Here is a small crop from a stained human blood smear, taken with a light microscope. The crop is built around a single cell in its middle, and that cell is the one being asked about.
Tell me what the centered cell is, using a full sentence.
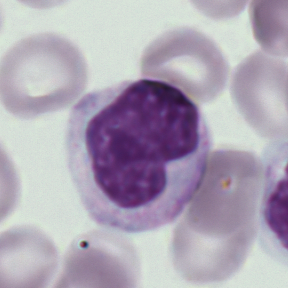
The centrally placed cell is classified as a metamyelocyte.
